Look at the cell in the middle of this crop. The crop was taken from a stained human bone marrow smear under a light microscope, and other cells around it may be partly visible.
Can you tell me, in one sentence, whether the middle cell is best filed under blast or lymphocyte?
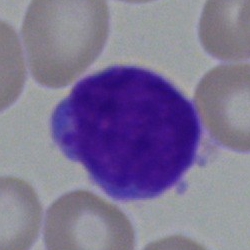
Standing at the centre of this crop is a blast.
